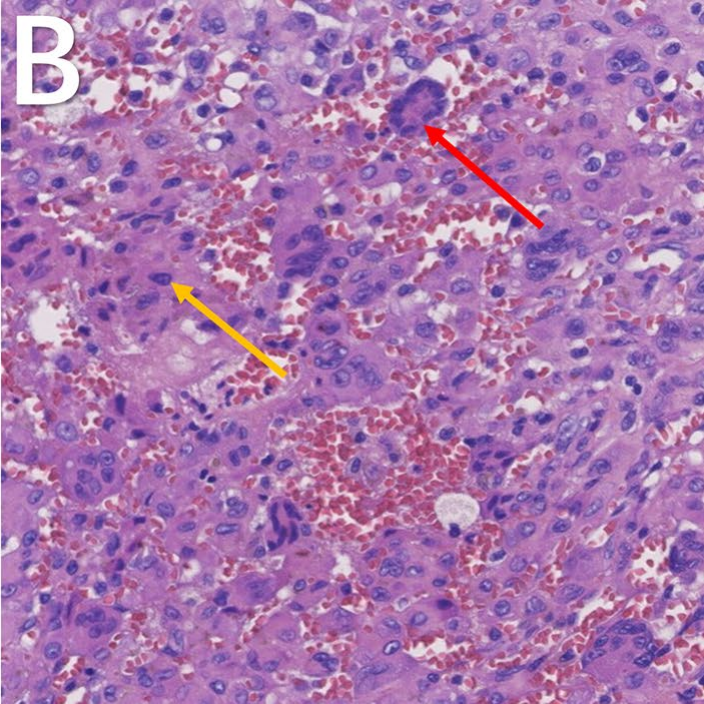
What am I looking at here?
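This lesion is made of multinucleated giant cells scattered among sheets of mononuclear cells. The giant cells are large, with abundant pink cytoplasm and clusters of many dark oval nuclei. The mononuclear cells have a single round to oval nucleus and moderate pink cytoplasm. Many red blood cells fill the spaces between the cells, giving the field a blood-filled look.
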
